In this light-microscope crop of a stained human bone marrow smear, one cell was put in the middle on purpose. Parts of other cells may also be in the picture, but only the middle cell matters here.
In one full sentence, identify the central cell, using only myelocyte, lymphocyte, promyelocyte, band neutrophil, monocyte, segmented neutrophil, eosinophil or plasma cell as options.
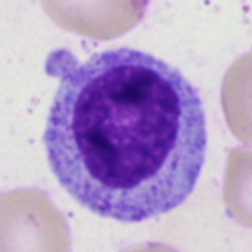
The cell nearest the centre of this crop is a myelocyte.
